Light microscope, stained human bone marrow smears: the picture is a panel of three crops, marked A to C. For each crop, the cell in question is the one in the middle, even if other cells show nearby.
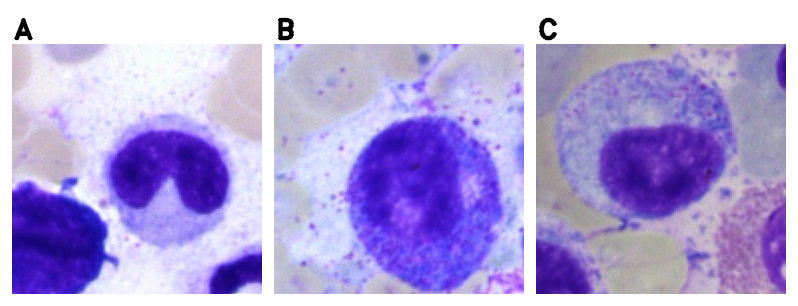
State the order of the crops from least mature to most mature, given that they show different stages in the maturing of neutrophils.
B, C, A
